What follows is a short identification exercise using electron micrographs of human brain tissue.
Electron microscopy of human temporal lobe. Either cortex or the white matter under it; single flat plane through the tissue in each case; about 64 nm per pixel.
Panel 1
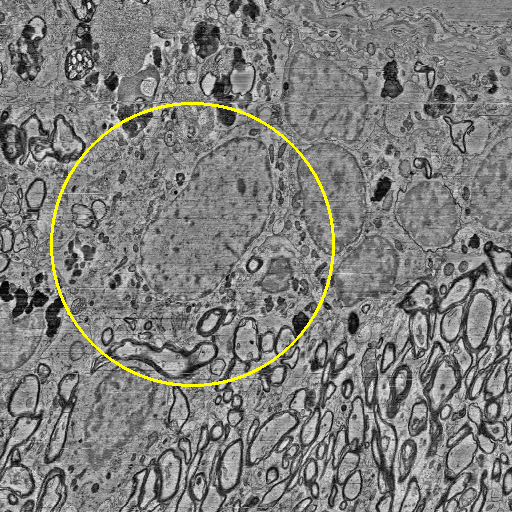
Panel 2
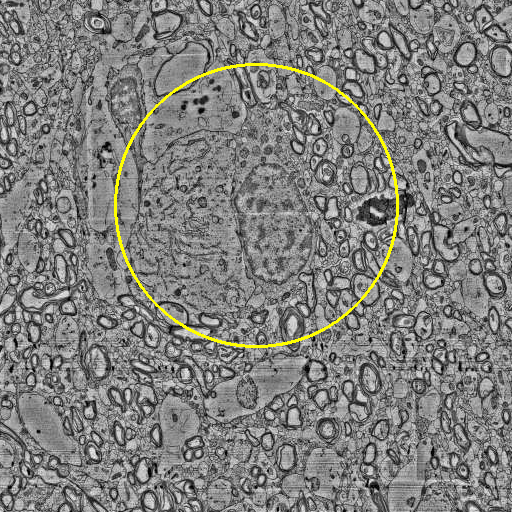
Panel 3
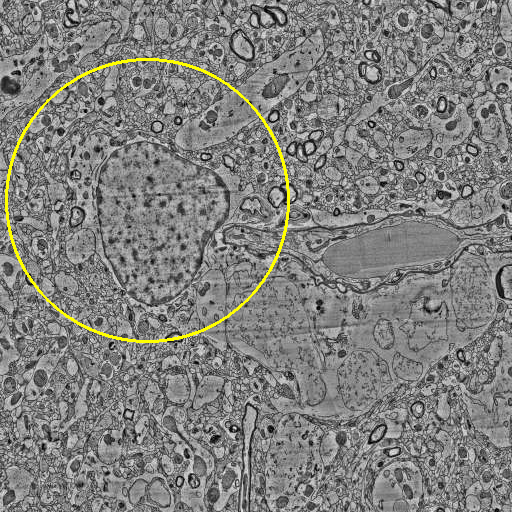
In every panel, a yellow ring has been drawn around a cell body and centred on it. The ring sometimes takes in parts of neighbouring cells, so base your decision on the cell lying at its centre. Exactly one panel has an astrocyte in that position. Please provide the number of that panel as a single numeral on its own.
1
